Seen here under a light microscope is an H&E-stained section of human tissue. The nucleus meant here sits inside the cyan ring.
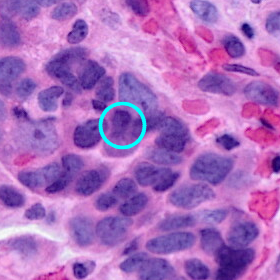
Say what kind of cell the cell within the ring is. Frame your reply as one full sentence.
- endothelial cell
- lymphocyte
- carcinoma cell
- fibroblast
The identity of the cell within the ring is that of a carcinoma cell.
